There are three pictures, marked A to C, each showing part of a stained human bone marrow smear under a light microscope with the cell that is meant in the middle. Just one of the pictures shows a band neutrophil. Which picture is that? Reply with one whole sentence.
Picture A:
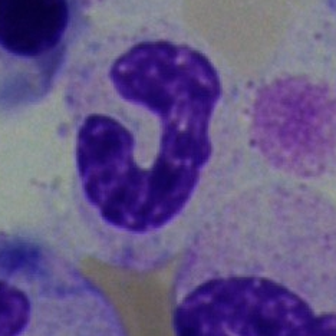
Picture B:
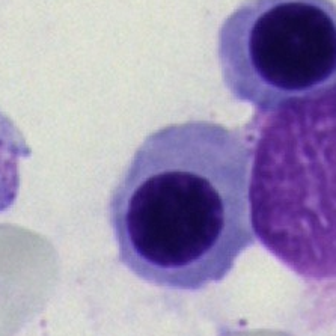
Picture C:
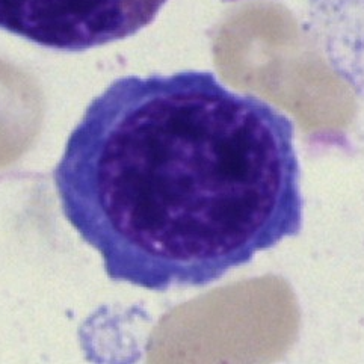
The cell in picture A is the band neutrophil.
